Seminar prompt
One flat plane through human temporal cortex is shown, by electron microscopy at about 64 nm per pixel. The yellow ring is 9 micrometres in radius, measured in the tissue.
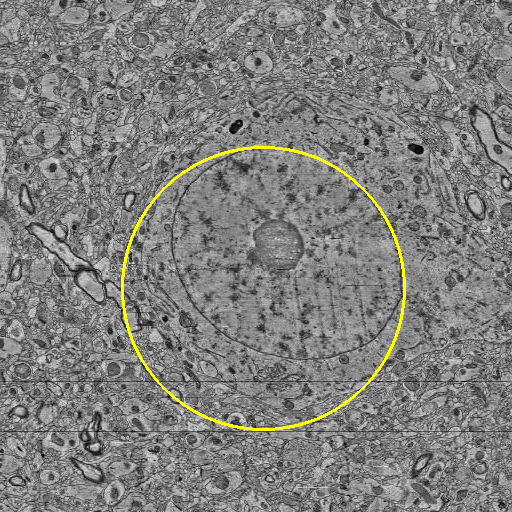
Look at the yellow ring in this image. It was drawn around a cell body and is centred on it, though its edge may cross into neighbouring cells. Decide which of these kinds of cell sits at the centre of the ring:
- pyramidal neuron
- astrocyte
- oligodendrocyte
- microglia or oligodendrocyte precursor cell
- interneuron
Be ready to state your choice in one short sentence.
The kind of cell at the ring's centre is a pyramidal neuron.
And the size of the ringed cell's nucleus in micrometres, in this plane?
Roughly 16 micrometres by 13 micrometres, in this plane.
